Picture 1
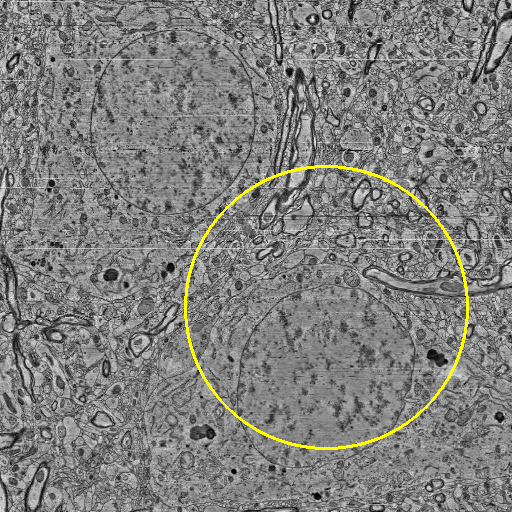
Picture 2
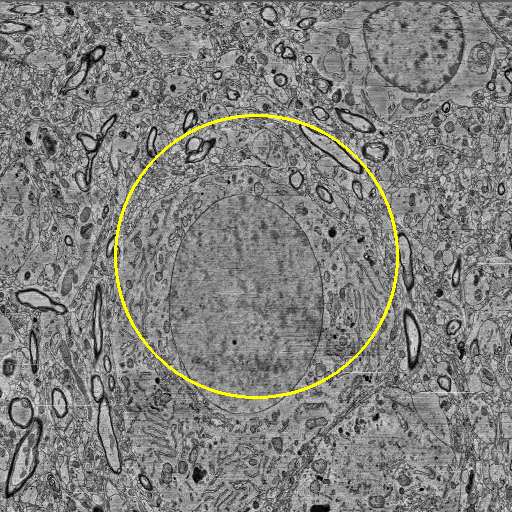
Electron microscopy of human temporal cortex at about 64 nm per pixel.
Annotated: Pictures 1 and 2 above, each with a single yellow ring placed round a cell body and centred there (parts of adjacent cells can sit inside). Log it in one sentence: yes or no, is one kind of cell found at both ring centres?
No, the ring centres of the two pictures hold cells of two kinds.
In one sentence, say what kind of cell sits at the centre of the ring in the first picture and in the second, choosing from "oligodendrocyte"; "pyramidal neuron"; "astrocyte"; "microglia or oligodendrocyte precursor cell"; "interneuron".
The first picture's ringed cell is a pyramidal neuron, while the second picture's is an interneuron.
